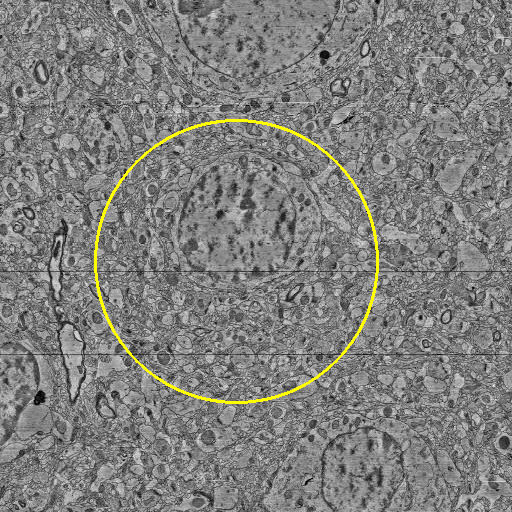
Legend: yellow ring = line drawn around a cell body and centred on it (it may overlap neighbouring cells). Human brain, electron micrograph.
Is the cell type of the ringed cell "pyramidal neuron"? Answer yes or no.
no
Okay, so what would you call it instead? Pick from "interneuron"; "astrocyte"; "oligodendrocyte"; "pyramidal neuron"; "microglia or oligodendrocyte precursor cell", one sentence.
The cell in the ring is an interneuron instead.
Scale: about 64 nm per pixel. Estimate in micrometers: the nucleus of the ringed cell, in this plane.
The nucleus is approximately 8 micrometers across in this plane.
